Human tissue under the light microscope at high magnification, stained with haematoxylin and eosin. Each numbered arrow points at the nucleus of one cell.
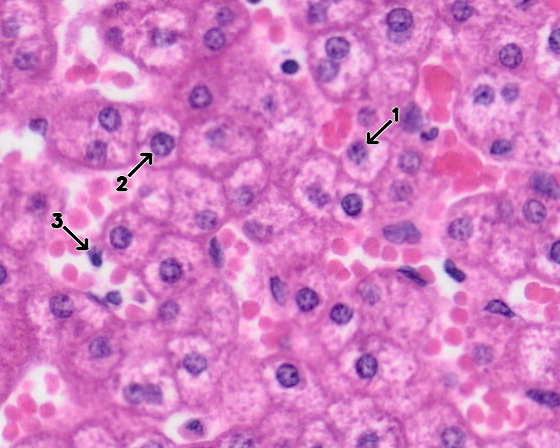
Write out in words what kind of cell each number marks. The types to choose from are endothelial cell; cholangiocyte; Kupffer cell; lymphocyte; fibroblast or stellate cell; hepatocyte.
Cell 1 is a hepatocyte, cell 2 is a hepatocyte and cell 3 is a lymphocyte.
